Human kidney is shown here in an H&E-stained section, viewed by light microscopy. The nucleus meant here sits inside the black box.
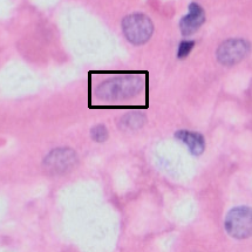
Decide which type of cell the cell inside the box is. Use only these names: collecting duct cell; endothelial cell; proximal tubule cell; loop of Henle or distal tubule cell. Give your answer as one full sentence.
So far as cell type goes, the cell inside the box is a proximal tubule cell.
